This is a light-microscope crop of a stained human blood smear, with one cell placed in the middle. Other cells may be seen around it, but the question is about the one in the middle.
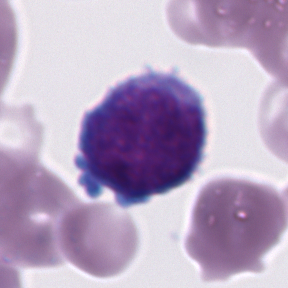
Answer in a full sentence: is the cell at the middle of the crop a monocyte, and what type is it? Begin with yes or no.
No, the cell in the centre of the crop is a myeloblast as opposed to a monocyte.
